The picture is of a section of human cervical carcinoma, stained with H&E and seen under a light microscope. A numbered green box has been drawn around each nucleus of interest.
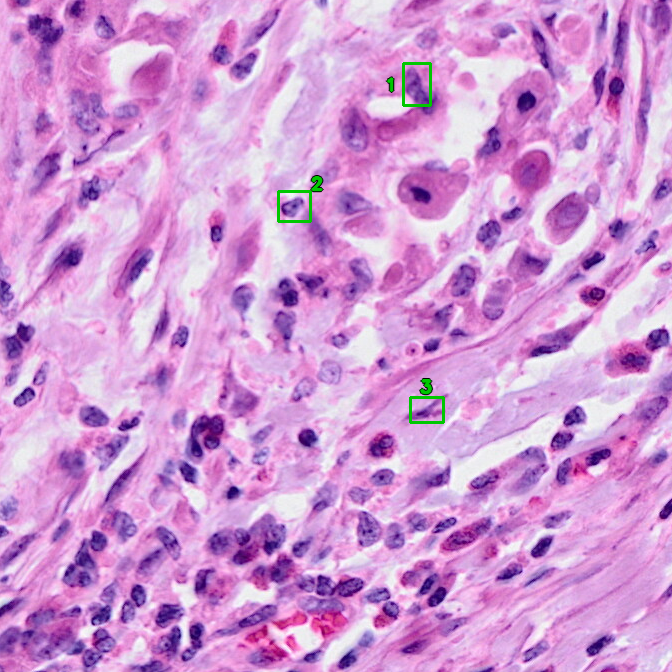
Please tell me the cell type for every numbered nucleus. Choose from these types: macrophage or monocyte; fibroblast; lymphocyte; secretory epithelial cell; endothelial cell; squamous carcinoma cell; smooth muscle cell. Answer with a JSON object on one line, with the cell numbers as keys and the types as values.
{"1": "macrophage or monocyte", "2": "lymphocyte", "3": "fibroblast"}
